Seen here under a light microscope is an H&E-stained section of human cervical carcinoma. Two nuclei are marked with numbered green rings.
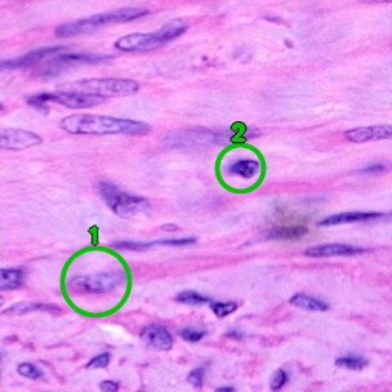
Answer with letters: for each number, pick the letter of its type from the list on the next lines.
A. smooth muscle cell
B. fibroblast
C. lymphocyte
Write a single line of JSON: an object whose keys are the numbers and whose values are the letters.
{"1": "A", "2": "C"}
